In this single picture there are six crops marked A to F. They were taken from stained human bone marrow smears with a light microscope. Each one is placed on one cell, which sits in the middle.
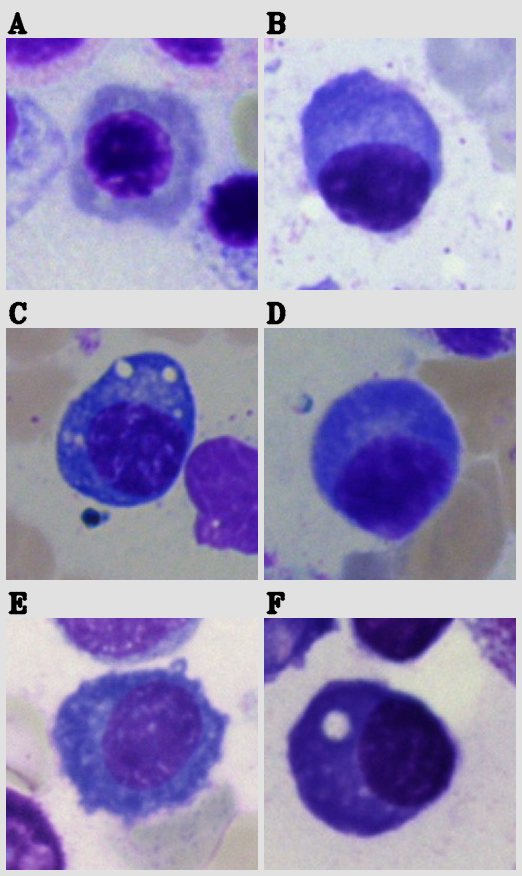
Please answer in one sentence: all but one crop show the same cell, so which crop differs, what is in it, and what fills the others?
Crop A is different, showing a normoblast, whereas all the others show plasma cells.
